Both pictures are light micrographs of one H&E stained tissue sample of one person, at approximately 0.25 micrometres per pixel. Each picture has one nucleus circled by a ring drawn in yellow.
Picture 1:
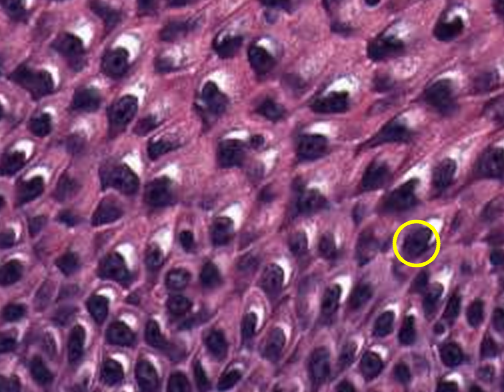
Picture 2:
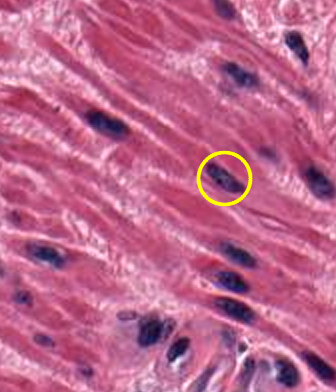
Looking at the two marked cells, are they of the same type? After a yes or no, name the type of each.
No, the first is a squamous epithelial cell and the second a smooth muscle cell.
